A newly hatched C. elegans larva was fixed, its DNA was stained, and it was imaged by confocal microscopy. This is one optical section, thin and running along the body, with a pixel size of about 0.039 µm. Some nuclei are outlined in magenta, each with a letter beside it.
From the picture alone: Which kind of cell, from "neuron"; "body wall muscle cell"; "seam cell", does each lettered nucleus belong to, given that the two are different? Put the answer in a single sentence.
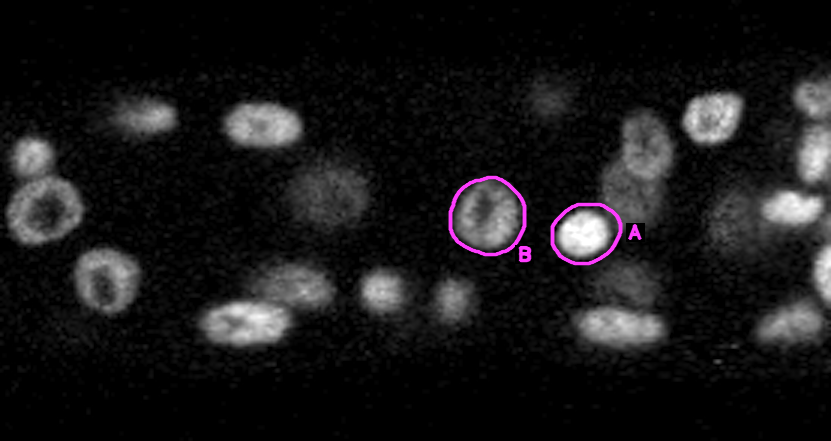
A is the nucleus of a neuron; B is the nucleus of a seam cell.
